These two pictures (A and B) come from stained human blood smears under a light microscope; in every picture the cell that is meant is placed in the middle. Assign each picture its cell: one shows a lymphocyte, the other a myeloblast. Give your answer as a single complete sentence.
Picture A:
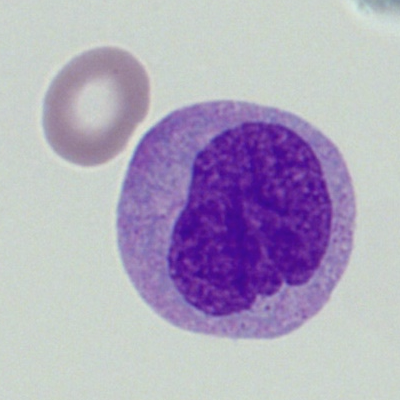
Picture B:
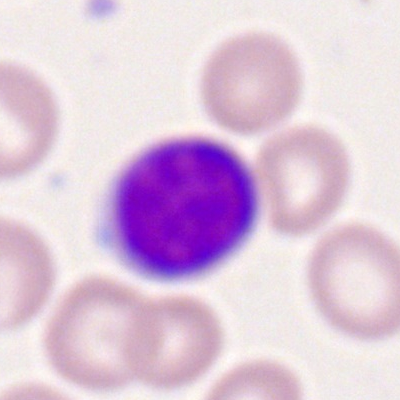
The cell in picture A is a myeloblast, and the one in picture B is a lymphocyte.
